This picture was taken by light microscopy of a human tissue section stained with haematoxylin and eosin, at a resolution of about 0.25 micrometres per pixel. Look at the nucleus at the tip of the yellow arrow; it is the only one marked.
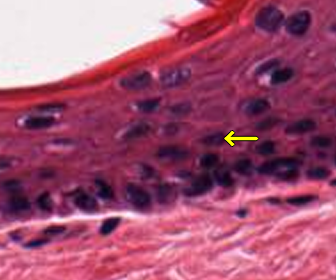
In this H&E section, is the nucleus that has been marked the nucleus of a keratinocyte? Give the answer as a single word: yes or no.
yes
